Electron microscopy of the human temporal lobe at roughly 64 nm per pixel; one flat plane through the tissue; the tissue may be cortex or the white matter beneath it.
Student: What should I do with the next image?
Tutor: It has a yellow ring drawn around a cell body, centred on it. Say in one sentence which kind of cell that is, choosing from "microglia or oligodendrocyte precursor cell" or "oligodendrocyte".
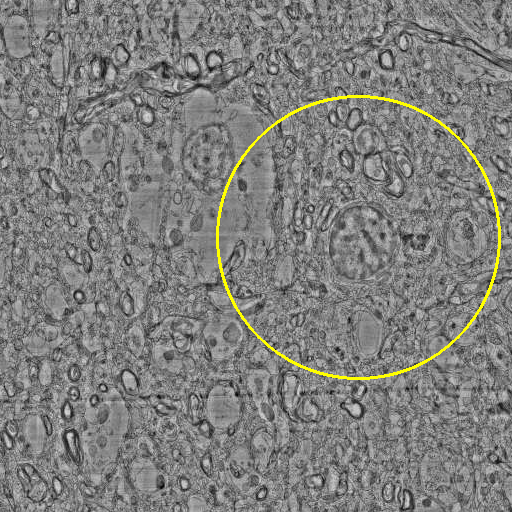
The ring's centre is occupied by a microglial cell or oligodendrocyte precursor cell.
